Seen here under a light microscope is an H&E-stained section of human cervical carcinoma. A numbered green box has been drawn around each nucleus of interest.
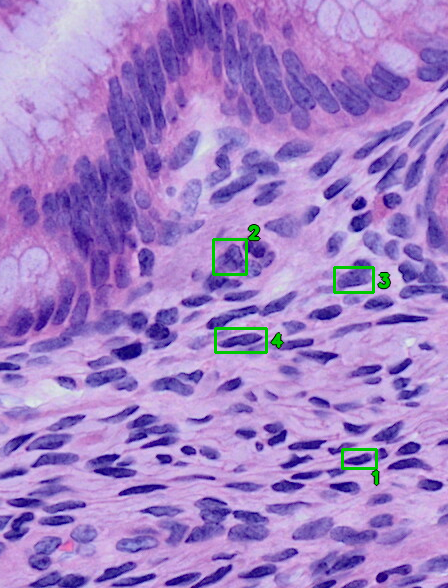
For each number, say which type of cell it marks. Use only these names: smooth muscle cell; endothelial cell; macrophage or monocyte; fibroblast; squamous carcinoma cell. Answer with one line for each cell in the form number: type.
1: fibroblast
2: endothelial cell
3: fibroblast
4: fibroblast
